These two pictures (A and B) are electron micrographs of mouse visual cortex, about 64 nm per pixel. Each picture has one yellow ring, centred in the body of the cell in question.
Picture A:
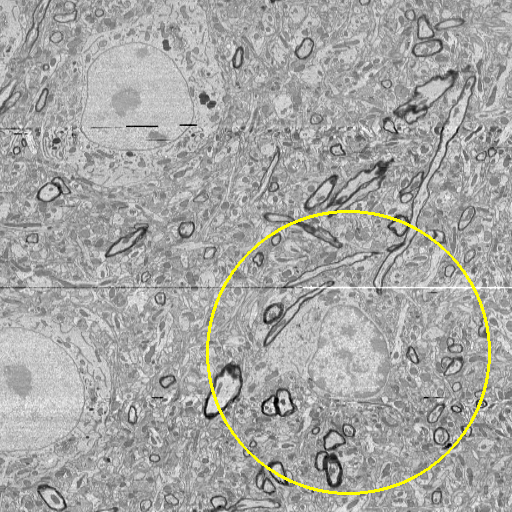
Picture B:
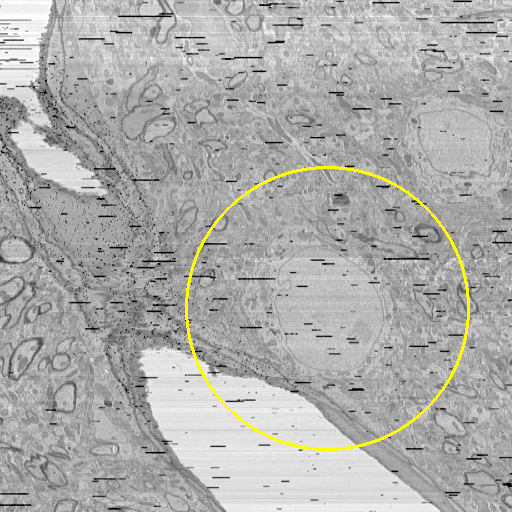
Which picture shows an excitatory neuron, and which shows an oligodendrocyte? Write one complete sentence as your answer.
Picture B shows an excitatory neuron, while picture A shows an oligodendrocyte.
